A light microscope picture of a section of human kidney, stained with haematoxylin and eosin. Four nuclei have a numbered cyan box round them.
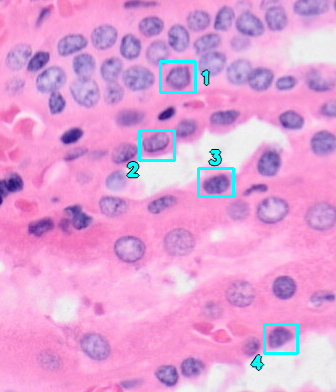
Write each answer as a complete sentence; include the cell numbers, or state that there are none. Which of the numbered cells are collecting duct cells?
Whereas cell 1 is a collecting duct cell, the other numbered cells are not.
